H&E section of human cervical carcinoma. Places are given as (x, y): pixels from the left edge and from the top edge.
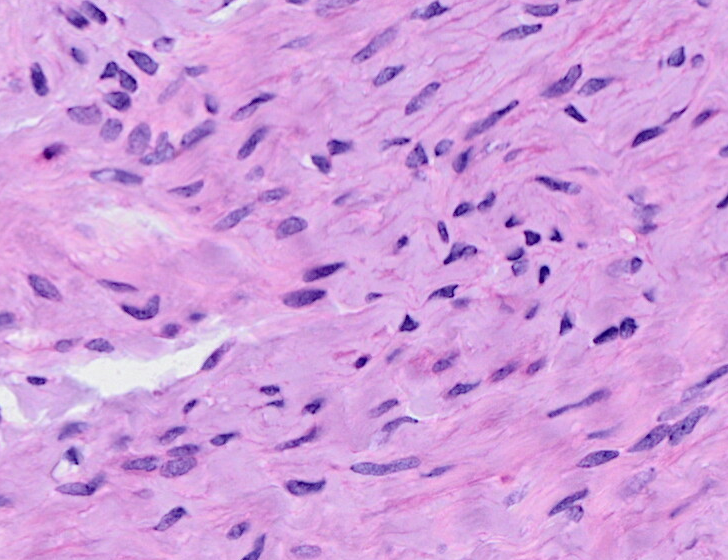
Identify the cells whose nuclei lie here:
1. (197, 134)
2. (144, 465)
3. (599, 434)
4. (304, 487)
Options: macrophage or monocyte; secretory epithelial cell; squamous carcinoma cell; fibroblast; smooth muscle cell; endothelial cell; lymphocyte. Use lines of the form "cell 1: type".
cell 1: fibroblast
cell 2: smooth muscle cell
cell 3: fibroblast
cell 4: fibroblast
